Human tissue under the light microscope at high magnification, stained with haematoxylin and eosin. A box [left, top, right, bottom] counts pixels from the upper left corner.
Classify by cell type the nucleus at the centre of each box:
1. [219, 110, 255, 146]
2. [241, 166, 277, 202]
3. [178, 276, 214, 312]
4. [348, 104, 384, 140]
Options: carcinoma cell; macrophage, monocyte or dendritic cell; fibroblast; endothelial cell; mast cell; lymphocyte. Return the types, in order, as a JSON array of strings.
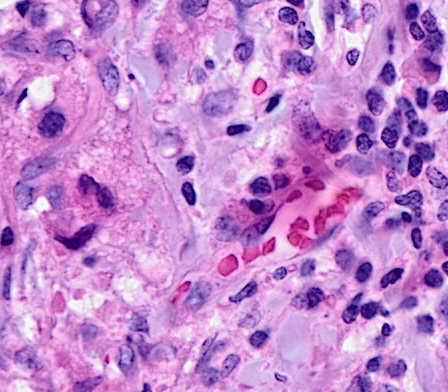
["lymphocyte", "lymphocyte", "endothelial cell", "lymphocyte"]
